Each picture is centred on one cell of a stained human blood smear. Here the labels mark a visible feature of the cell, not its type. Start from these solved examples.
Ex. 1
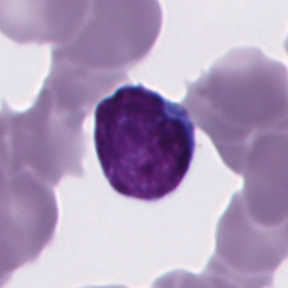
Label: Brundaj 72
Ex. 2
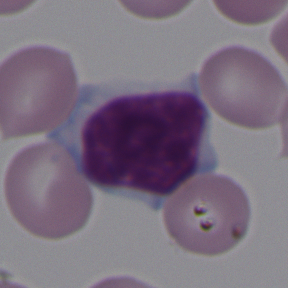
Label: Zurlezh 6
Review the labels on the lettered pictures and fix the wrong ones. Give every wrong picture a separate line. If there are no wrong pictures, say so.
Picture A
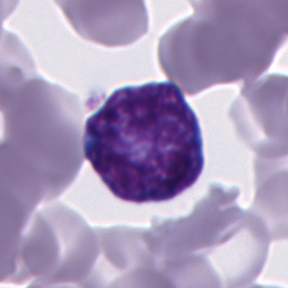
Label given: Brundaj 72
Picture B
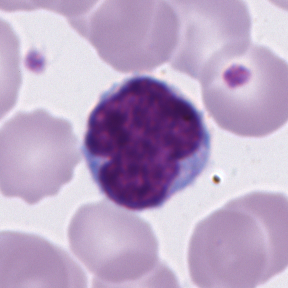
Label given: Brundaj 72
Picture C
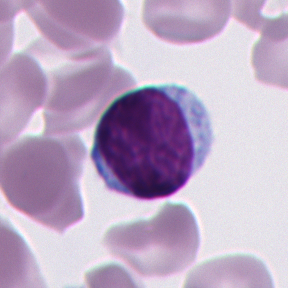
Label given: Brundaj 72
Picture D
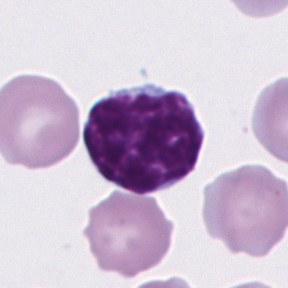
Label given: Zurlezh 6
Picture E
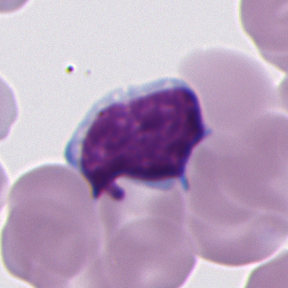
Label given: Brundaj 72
E: Zurlezh 6, not Brundaj 72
